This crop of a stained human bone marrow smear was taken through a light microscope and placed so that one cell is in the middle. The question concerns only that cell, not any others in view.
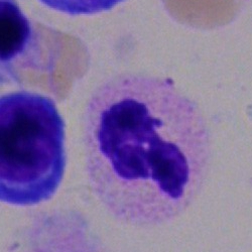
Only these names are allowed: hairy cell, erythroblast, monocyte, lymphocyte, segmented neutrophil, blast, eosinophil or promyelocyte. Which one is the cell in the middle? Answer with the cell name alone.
segmented neutrophil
